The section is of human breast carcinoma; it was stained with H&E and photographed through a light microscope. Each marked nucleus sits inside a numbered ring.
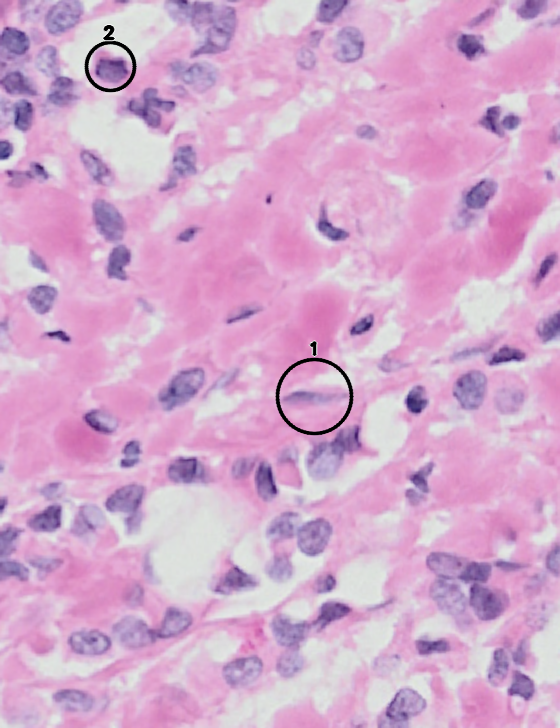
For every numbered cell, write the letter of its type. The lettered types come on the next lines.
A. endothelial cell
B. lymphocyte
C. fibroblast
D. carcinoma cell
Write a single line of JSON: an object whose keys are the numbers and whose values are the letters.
{"1": "C", "2": "D"}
